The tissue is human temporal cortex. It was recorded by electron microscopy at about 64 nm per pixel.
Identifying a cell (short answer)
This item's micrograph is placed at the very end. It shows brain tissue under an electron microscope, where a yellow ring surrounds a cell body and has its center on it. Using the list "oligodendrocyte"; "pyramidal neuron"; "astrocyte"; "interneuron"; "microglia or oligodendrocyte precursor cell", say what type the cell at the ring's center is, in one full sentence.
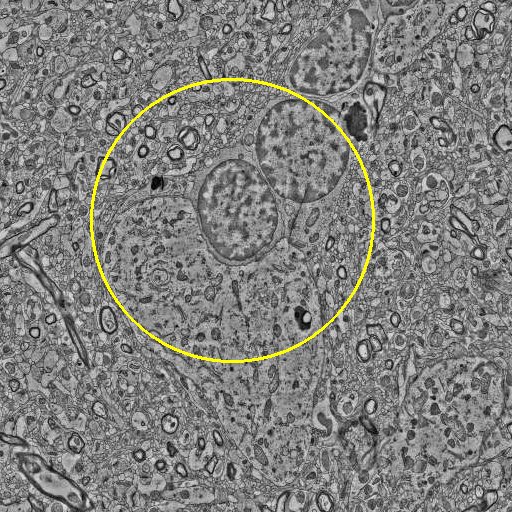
This picture shows an oligodendrocyte at the center of the yellow ring drawn on it.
